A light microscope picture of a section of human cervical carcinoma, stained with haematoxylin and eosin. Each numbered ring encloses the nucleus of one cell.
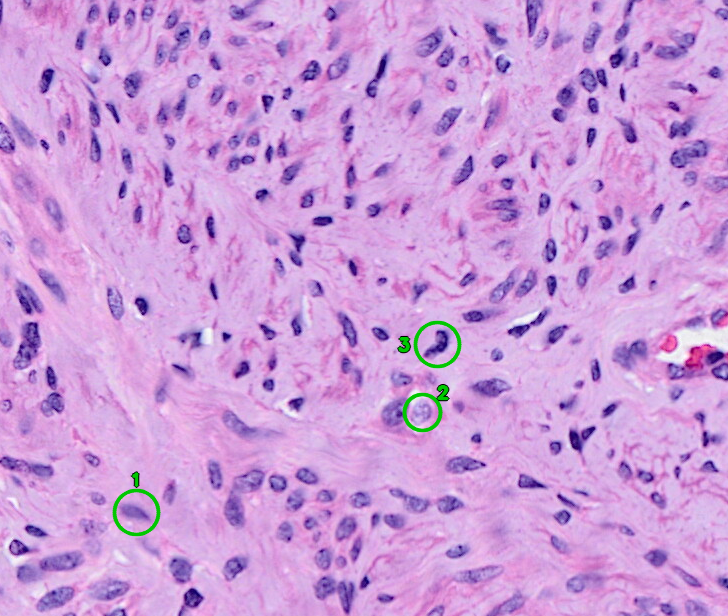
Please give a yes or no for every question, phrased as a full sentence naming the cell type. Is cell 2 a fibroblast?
No, number 2 corresponds to an endothelial cell, not a fibroblast.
